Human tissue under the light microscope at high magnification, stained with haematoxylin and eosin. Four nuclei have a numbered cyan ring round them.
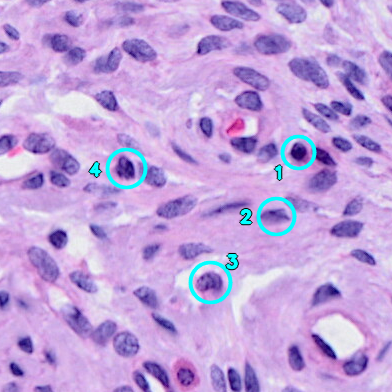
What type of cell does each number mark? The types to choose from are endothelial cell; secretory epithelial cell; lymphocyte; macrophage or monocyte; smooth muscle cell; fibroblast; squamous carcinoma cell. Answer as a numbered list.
1. lymphocyte
2. fibroblast
3. macrophage or monocyte
4. lymphocyte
